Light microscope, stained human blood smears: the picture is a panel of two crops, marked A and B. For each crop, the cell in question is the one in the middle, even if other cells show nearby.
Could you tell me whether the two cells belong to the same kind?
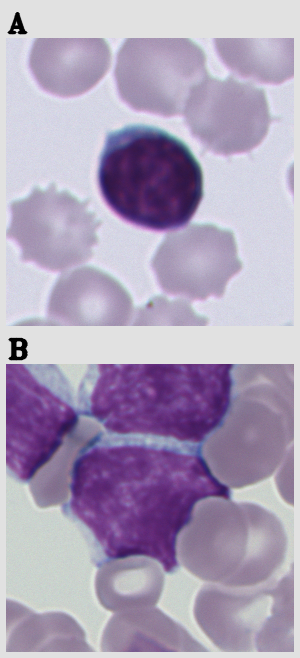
yes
